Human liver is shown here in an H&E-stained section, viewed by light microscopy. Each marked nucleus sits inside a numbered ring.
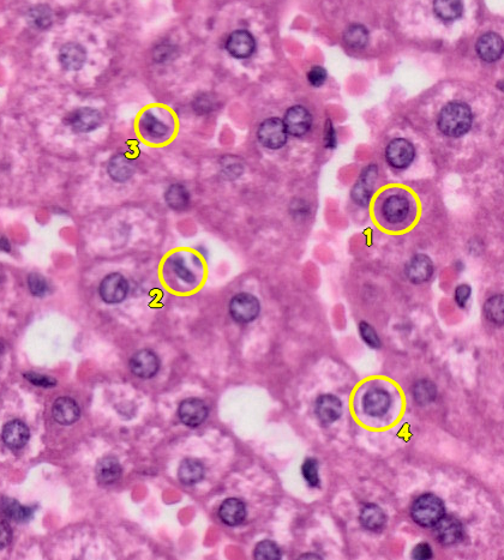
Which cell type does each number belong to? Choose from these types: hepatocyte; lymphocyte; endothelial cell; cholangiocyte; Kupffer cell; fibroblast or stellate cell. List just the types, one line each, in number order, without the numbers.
hepatocyte
endothelial cell
Kupffer cell
hepatocyte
